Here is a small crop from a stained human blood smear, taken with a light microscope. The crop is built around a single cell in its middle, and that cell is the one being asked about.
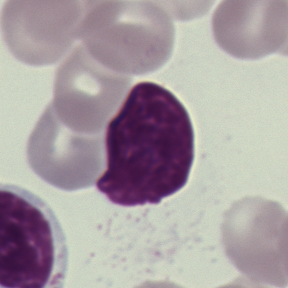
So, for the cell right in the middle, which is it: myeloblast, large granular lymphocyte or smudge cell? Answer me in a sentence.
This crop has a smudge cell at its centre.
